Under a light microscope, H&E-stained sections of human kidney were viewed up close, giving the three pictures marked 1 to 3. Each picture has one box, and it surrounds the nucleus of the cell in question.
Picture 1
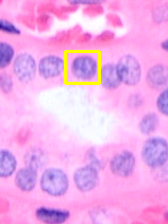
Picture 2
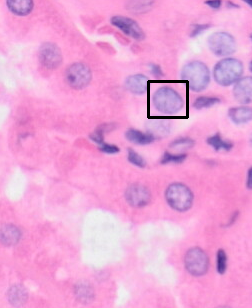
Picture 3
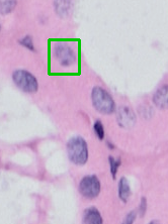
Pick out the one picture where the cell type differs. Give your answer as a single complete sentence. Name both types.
All pictures except 3 show collecting duct cells; picture 3 shows a “loop of Henle or distal tubule cell”.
